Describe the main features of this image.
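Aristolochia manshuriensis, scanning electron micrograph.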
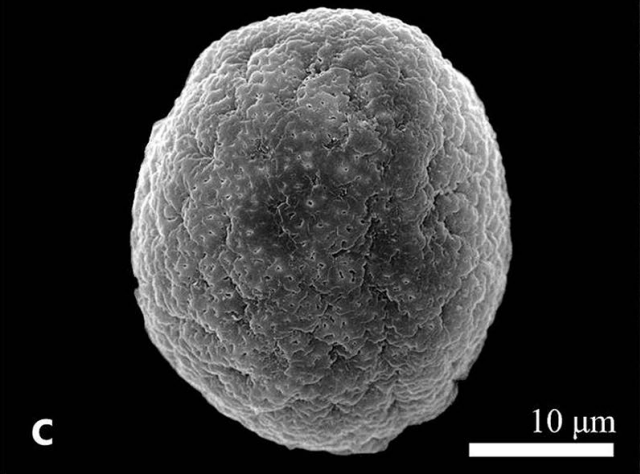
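The grain is ovoid, a little longer than wide, about thirty micrometres long, and lacks any clear furrows or pores of the kind many pollen types show. Its whole surface is uneven, built of low rounded bumps that give it a lumpy look, and many small pits are scattered over it, most visible near the centre of the face turned toward us. The outline is intact and the grain looks full rather than collapsed.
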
